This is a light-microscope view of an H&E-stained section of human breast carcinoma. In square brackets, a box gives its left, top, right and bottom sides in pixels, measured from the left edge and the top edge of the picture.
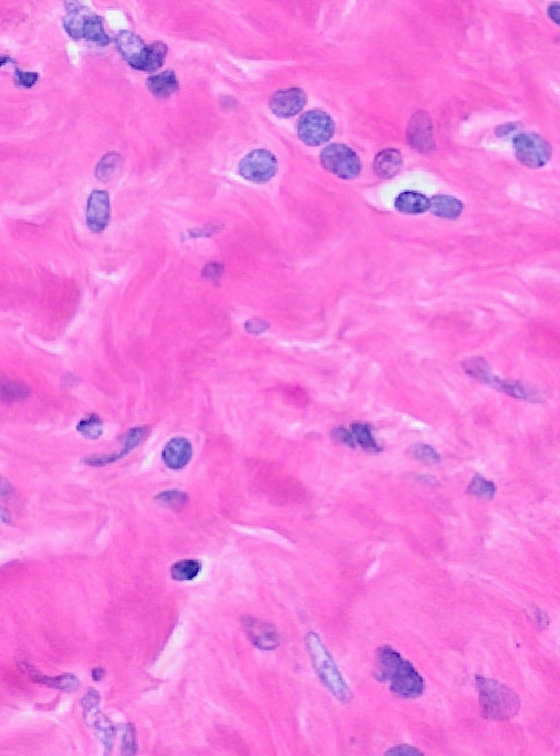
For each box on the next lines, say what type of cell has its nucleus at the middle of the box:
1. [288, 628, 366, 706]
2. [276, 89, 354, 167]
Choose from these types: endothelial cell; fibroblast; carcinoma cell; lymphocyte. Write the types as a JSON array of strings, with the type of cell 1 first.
["fibroblast", "carcinoma cell"]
